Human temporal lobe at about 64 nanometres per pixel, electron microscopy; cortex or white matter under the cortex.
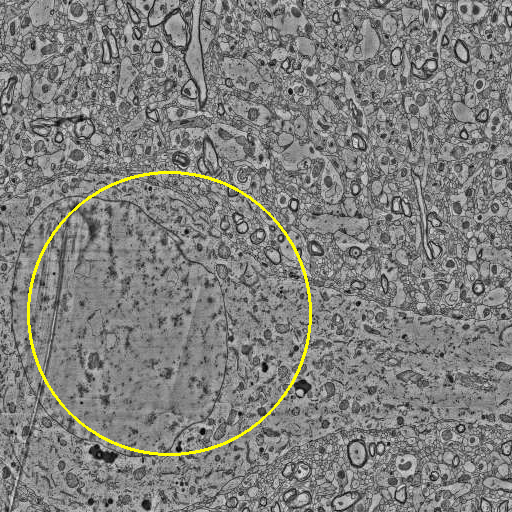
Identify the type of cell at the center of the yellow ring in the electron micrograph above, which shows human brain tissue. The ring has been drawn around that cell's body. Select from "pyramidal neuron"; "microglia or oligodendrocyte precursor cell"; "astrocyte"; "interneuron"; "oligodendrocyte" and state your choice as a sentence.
The yellow ring is centered on the body of a pyramidal neuron.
